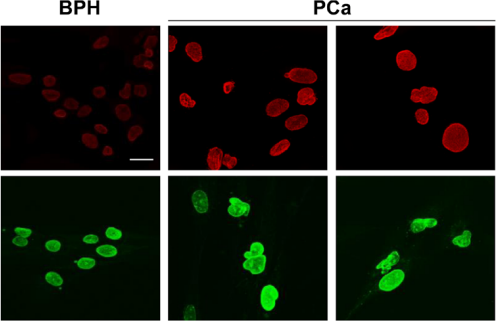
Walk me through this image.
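In the left column the nuclei are small, oval and fairly uniform, scattered singly across a dark background. In the two right columns the nuclei are generally larger and more variable in size. Many of them have irregular, folded or lobed outlines with indentations of the nuclear border instead of a smooth oval contour. The cytoplasm and cell borders are not stained and cannot be made out.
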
